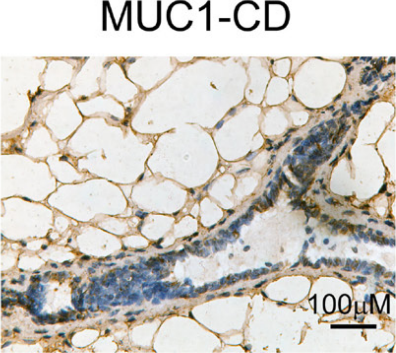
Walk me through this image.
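Mammary gland with a branching duct set in fat. The duct is lined by crowded epithelial cells with dark blue, oval nuclei, several cells thick in places, around a pale lumen. A thin band of stroma with spindle-shaped nuclei wraps the duct. The surrounding fat cells are large, empty and polygonal, with thin membranes and few flattened peripheral nuclei. Faint brown stain outlines the fat cell membranes and the stroma around the duct.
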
